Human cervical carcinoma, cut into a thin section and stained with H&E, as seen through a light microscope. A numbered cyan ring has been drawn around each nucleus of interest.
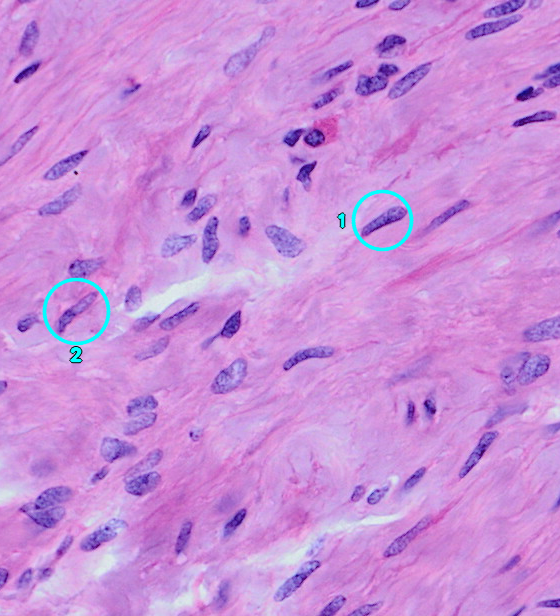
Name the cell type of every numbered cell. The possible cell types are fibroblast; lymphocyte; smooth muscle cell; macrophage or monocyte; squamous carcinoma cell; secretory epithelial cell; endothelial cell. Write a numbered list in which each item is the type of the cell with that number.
1. fibroblast
2. smooth muscle cell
